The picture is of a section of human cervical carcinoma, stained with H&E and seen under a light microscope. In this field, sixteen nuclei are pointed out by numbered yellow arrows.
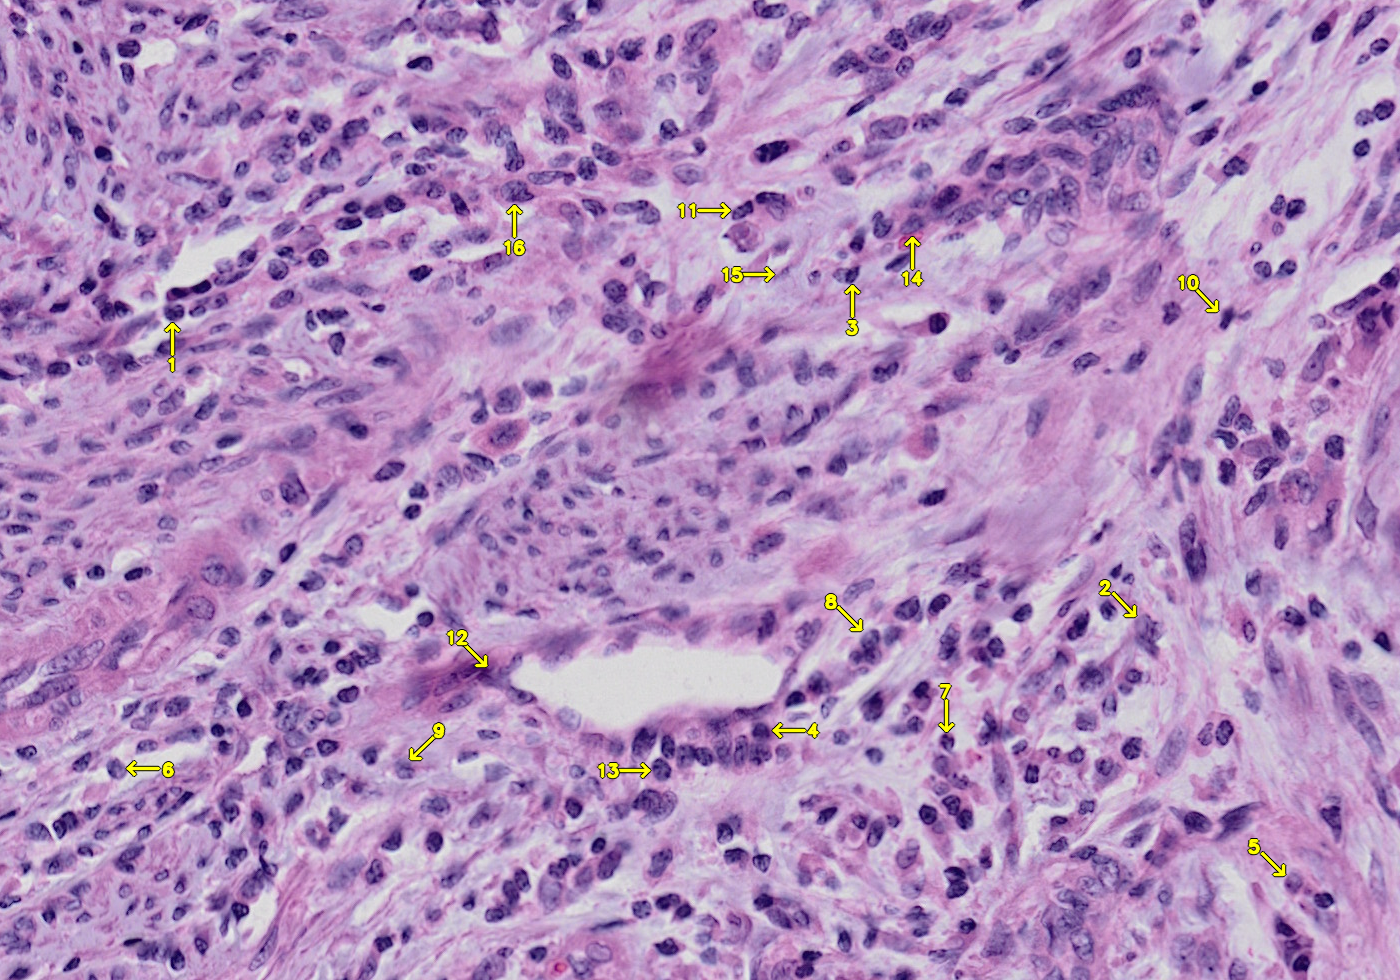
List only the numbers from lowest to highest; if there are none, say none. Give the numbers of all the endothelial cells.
12, 14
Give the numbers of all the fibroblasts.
15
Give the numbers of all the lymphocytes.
1, 3, 4, 6, 7, 8, 10, 11, 13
